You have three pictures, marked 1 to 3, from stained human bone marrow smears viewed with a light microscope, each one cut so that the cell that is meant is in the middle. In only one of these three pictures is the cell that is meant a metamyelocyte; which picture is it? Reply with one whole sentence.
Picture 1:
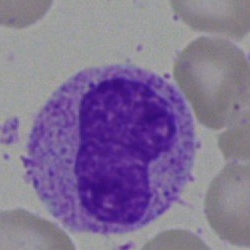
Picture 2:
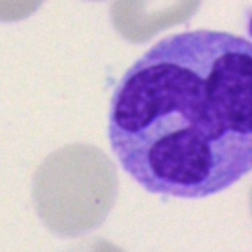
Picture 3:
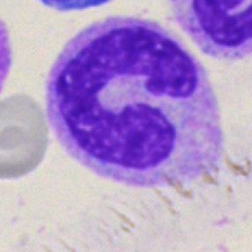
Picture 1 shows the metamyelocyte.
